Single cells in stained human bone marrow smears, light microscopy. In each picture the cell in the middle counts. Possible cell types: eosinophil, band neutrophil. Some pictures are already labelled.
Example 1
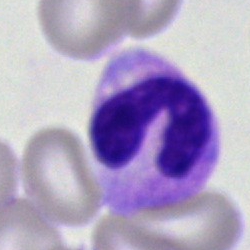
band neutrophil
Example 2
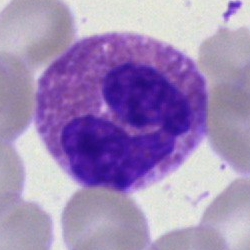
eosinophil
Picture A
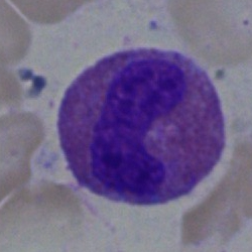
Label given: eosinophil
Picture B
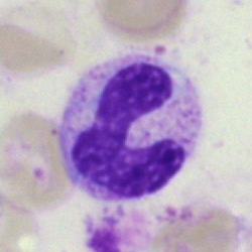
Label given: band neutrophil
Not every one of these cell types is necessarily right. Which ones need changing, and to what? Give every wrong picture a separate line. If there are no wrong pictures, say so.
All labels are correct.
